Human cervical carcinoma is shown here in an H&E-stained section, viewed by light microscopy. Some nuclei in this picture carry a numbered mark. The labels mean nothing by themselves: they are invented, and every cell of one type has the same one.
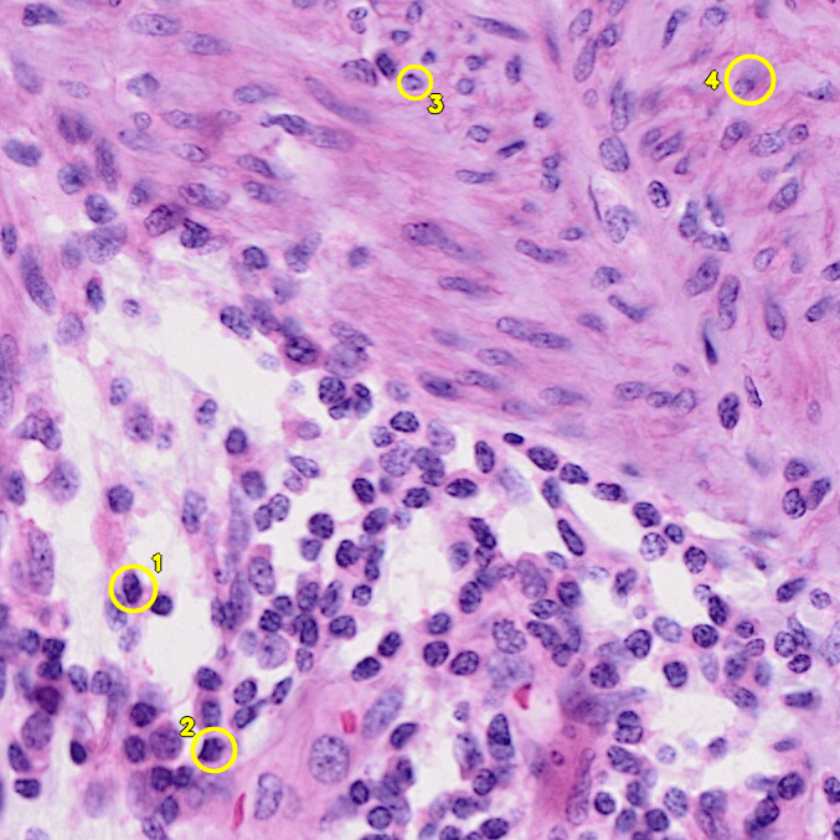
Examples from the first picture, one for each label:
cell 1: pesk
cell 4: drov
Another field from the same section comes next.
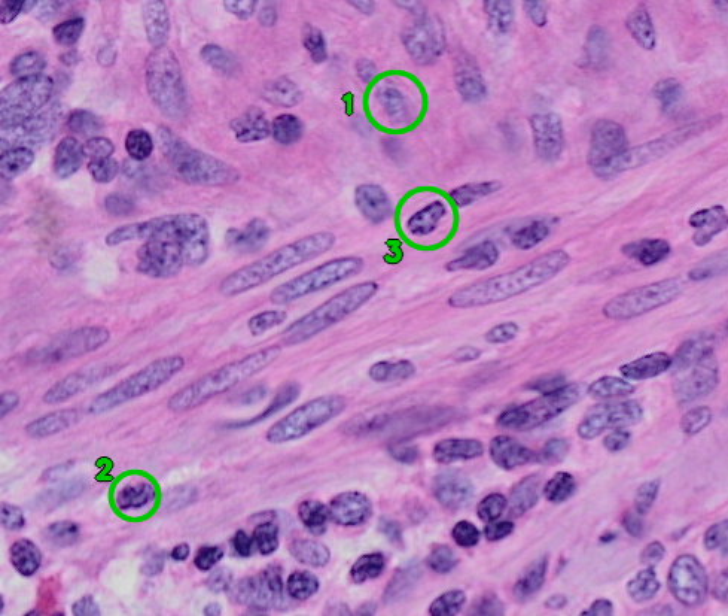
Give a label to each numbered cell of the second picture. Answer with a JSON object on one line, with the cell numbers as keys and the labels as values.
{"1": "drov", "2": "pesk", "3": "pesk"}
